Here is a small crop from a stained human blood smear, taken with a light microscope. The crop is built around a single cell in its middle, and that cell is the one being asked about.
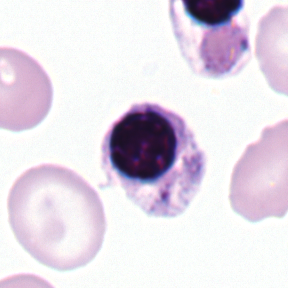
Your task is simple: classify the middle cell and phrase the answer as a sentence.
The centrally placed cell is classified as an erythroblast.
